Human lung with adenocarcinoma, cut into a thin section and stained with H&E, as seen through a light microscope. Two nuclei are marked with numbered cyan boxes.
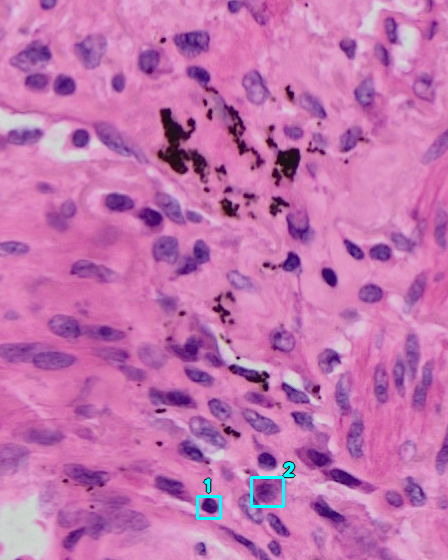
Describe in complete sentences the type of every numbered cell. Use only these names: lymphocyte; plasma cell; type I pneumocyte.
Cell 1 is a lymphocyte. Cell 2 is a plasma cell.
